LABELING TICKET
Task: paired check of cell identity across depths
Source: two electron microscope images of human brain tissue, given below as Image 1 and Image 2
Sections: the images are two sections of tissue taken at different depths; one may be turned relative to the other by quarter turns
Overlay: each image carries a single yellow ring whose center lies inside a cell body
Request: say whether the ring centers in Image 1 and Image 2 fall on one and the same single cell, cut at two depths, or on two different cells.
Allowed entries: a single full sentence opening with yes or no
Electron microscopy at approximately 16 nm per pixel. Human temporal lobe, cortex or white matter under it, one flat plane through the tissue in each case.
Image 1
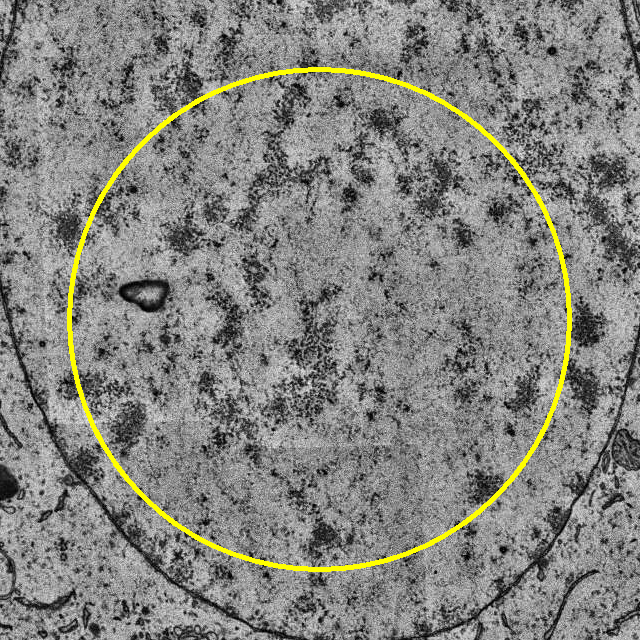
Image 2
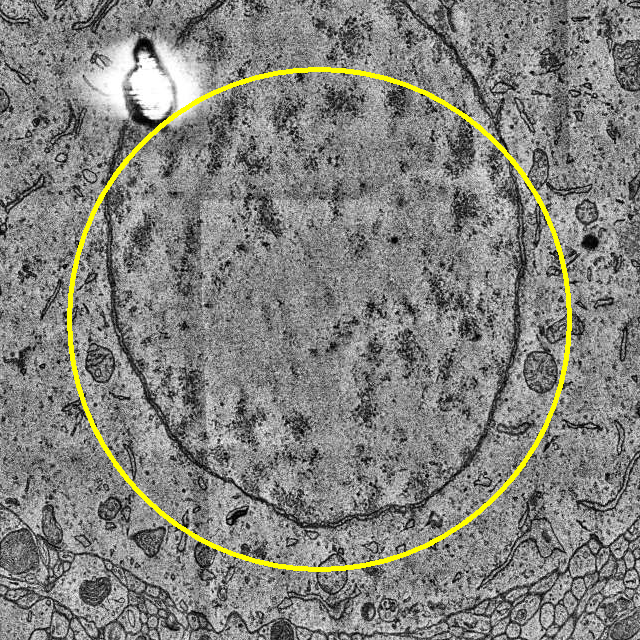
Yes, only one cell is involved, and both rings mark it.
